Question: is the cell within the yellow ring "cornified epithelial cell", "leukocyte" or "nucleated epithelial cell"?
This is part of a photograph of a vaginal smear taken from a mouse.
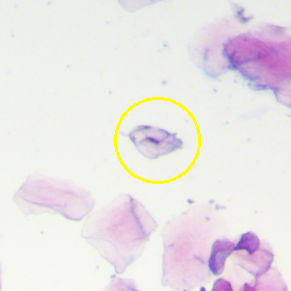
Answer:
nucleated epithelial cell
